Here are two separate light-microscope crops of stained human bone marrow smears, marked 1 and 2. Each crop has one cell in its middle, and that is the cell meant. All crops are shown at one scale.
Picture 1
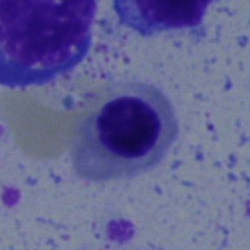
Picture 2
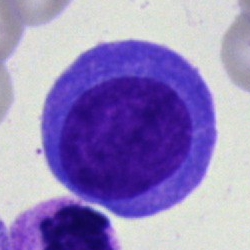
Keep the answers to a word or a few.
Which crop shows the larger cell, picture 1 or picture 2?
2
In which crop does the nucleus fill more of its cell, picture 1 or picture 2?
2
